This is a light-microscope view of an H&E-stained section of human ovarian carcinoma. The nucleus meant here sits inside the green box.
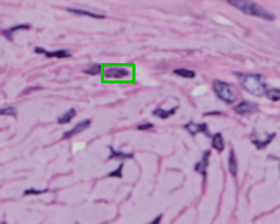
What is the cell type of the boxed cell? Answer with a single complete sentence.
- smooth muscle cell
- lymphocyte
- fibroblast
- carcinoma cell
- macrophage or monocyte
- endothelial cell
Speaking plainly, the boxed cell is nothing other than a fibroblast.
